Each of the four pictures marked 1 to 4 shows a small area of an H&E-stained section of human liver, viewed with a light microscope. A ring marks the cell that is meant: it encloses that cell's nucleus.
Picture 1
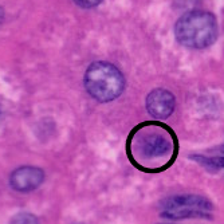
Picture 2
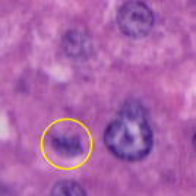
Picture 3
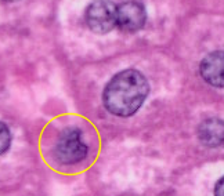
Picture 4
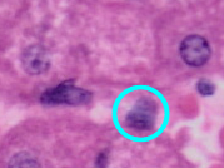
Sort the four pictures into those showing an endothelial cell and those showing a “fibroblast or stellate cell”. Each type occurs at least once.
1: fibroblast or stellate cell
2: endothelial cell
3: endothelial cell
4: endothelial cell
